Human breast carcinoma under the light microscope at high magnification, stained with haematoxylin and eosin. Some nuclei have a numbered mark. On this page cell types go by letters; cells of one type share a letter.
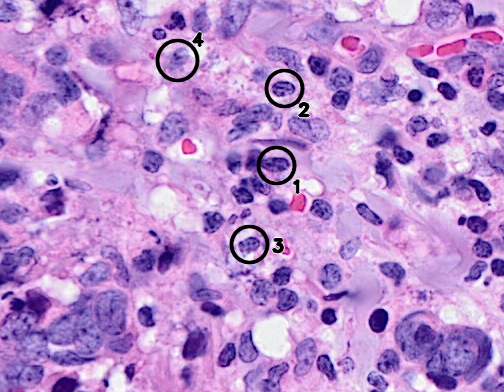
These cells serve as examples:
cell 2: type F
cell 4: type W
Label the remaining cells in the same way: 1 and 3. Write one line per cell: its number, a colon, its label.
1: type F
3: type F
